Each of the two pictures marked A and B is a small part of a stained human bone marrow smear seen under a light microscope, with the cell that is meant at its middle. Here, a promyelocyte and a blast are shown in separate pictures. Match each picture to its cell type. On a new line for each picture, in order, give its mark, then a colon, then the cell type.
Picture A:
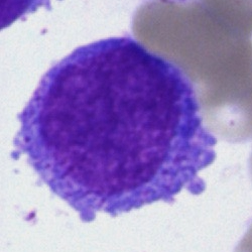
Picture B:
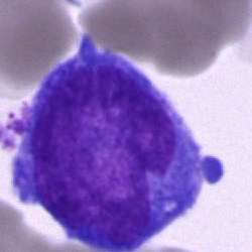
A: promyelocyte
B: blast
